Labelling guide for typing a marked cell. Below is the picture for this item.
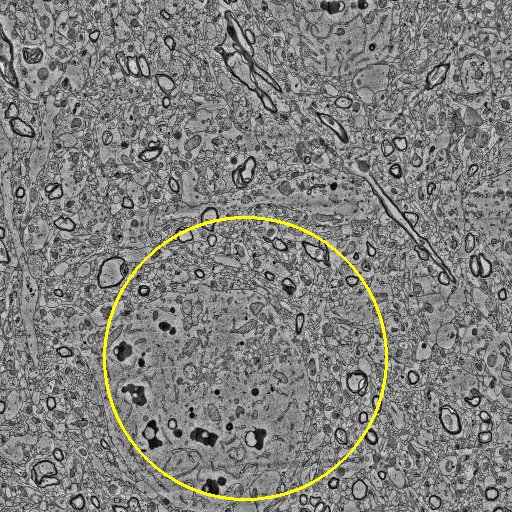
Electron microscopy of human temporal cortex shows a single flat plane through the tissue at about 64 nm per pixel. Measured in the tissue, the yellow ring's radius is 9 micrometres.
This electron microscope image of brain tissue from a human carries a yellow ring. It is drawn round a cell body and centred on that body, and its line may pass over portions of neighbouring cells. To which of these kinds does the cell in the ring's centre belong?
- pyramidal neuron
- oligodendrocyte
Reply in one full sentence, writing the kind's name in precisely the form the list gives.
Here we have a pyramidal neuron at the centre of the yellow ring in the picture.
